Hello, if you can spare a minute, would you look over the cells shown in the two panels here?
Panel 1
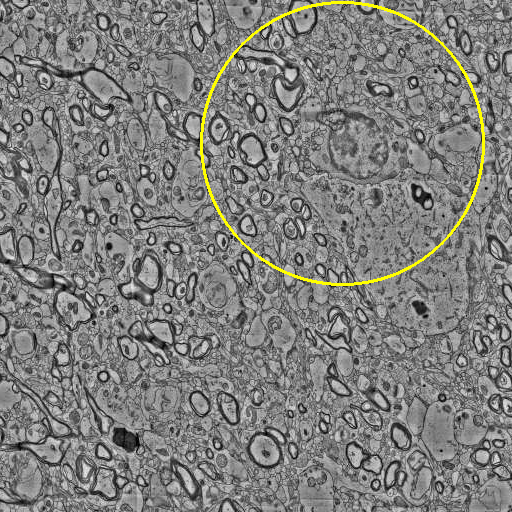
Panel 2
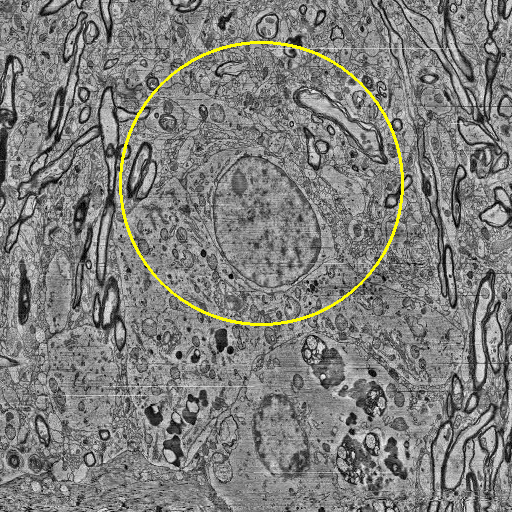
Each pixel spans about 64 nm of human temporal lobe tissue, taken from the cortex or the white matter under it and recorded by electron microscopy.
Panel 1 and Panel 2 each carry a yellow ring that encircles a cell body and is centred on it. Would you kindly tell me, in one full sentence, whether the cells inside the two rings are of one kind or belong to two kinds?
The cells at the centres of the rings in Panel 1 and Panel 2 belong to two kinds.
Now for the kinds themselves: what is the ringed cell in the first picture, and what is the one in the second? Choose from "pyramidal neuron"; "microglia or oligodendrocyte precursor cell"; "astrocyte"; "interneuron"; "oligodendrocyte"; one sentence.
Here the first cell is an oligodendrocyte and the second cell is a microglial cell or oligodendrocyte precursor cell.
